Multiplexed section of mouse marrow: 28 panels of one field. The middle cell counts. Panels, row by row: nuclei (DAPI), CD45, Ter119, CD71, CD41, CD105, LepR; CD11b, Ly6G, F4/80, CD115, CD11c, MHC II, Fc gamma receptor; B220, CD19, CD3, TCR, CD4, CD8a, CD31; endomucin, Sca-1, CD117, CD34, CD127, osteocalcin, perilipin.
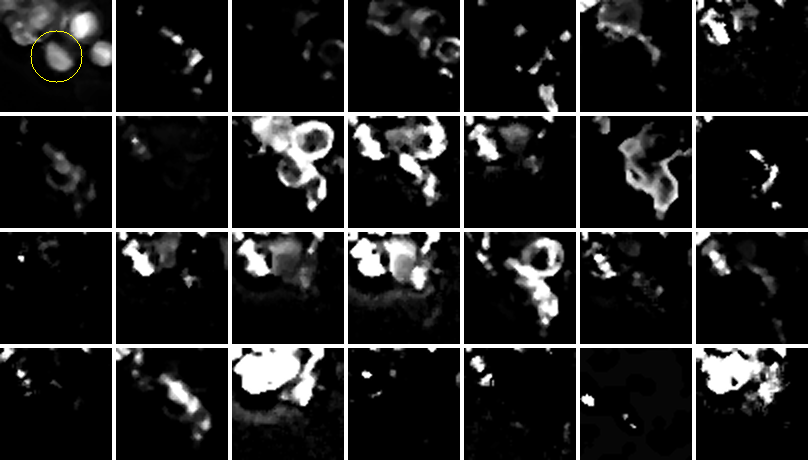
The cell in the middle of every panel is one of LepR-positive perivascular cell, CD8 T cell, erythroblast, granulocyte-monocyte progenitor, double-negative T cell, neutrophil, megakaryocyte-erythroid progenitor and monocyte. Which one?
monocyte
